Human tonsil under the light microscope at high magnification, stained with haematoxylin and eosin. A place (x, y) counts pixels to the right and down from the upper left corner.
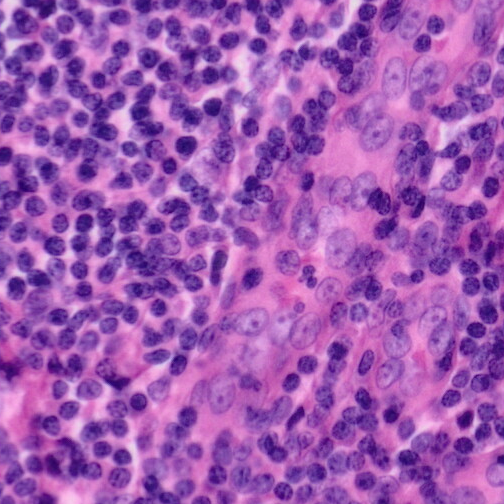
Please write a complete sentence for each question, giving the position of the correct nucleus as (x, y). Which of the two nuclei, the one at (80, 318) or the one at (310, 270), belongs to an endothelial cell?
Identified as belonging to an endothelial cell is the nucleus at (310, 270).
